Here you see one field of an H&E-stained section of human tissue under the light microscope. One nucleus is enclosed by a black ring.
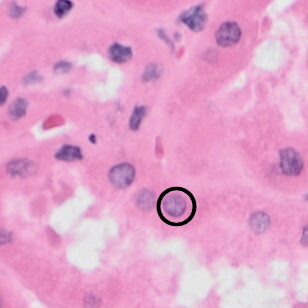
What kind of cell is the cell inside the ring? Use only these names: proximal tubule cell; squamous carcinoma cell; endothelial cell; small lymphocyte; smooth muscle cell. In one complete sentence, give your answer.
In short, the cell inside the ring on this section is a proximal tubule cell.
